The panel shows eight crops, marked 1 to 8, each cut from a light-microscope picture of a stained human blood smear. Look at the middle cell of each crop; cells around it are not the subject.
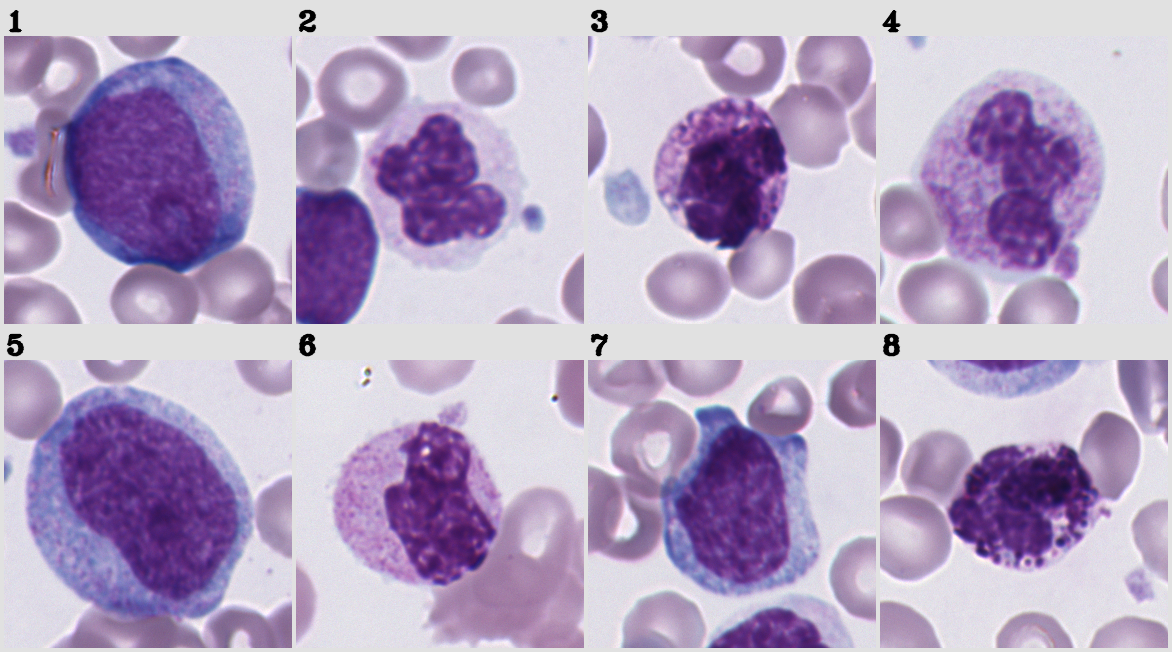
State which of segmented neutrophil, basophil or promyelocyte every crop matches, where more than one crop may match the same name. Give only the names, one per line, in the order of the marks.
promyelocyte
segmented neutrophil
basophil
segmented neutrophil
promyelocyte
segmented neutrophil
promyelocyte
basophil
